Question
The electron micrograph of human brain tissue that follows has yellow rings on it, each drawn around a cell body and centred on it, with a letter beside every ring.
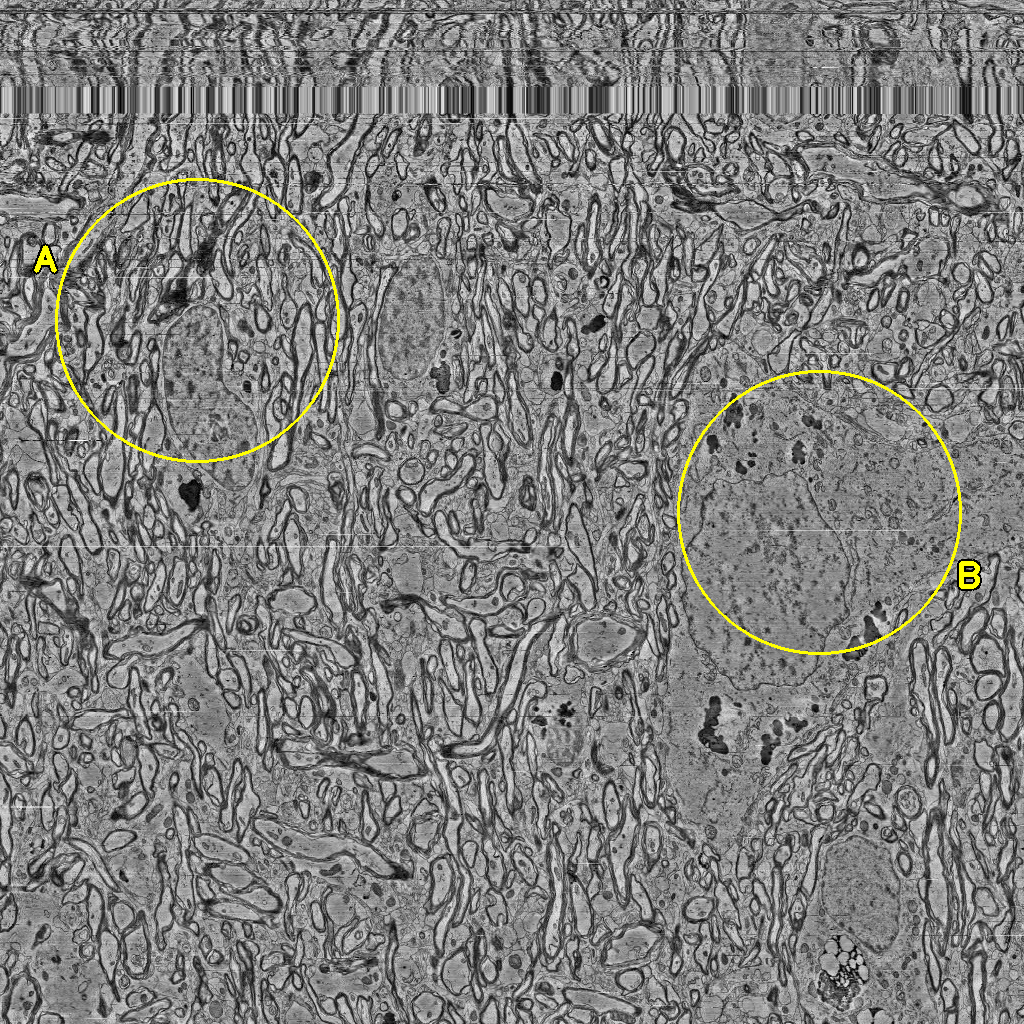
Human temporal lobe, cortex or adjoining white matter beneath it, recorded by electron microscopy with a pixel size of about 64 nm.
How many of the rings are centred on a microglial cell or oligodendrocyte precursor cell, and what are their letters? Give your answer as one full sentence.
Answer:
Among the rings, a microglial cell or oligodendrocyte precursor cell is the centre of just one, which is marked A.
